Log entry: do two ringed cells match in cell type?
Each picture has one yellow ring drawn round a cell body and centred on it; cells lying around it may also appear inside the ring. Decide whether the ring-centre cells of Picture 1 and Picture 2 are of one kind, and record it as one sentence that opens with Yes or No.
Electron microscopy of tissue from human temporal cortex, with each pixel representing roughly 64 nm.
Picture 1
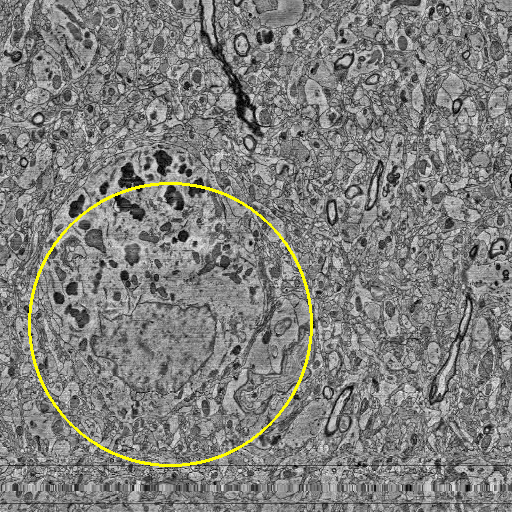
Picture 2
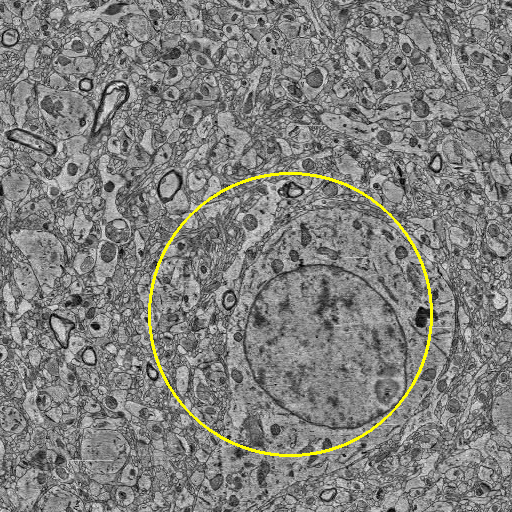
No, the cells at the ring centres of the two pictures belong to two kinds.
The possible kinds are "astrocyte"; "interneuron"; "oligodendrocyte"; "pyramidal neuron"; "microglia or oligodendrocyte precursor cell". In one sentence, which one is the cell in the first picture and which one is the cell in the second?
The cell ringed in the second picture is a pyramidal neuron, whereas the one ringed in the first is an interneuron.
